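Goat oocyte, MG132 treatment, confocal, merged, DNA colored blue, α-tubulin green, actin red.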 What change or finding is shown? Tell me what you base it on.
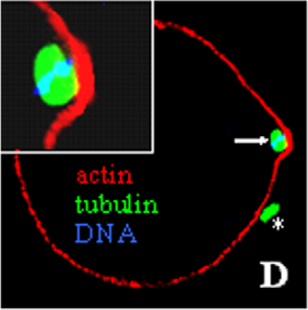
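Protrusions. The cell outline pushes out into a point at one side. A green and blue body lies within the outward bulge. The red rim is thickened around the bulge.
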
